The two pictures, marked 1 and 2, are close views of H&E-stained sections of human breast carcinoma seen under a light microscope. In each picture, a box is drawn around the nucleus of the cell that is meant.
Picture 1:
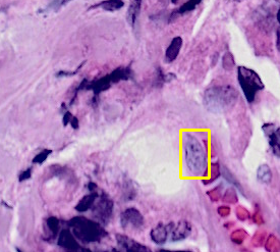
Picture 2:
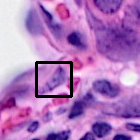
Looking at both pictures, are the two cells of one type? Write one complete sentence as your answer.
Yes, they are the same type: both are endothelial cells.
